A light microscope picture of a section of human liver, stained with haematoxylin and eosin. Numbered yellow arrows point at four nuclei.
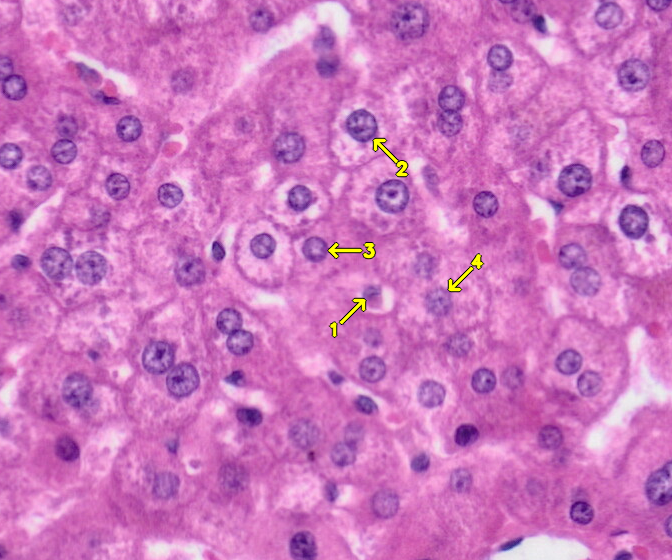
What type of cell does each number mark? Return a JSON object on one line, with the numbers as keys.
{"1": "Kupffer cell", "2": "hepatocyte", "3": "hepatocyte", "4": "hepatocyte"}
